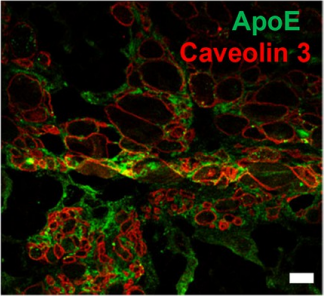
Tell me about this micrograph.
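A cross-section of muscle shows many fiber profiles, each outlined by a thin red rim. The profiles vary widely in size, from large rounded ones to clusters of small ones. Green label lies in the spaces between fibers and inside some fibers, and where it overlaps the red rims it appears yellow.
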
